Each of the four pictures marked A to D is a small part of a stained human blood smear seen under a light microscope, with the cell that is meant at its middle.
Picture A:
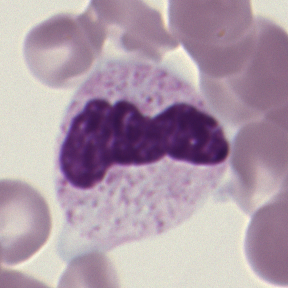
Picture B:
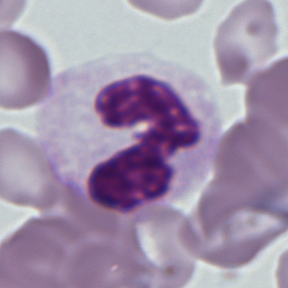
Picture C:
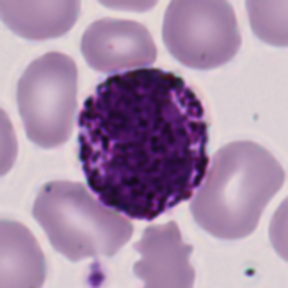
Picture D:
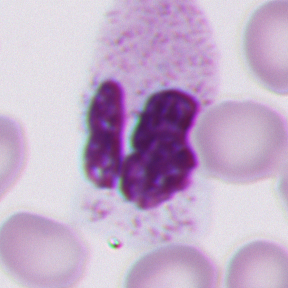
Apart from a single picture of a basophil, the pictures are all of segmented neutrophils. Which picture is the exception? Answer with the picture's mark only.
C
